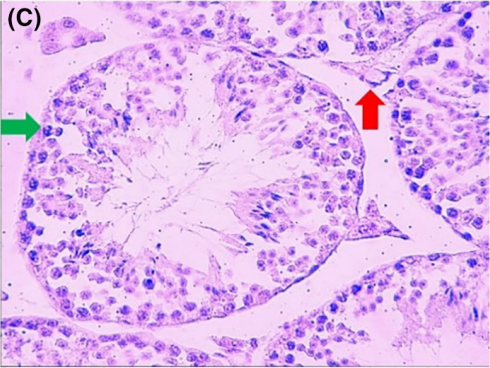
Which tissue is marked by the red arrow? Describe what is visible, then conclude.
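Interstitial connective tissue containing Leydig cell. The arrow points into the narrow space between neighbouring tubules.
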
